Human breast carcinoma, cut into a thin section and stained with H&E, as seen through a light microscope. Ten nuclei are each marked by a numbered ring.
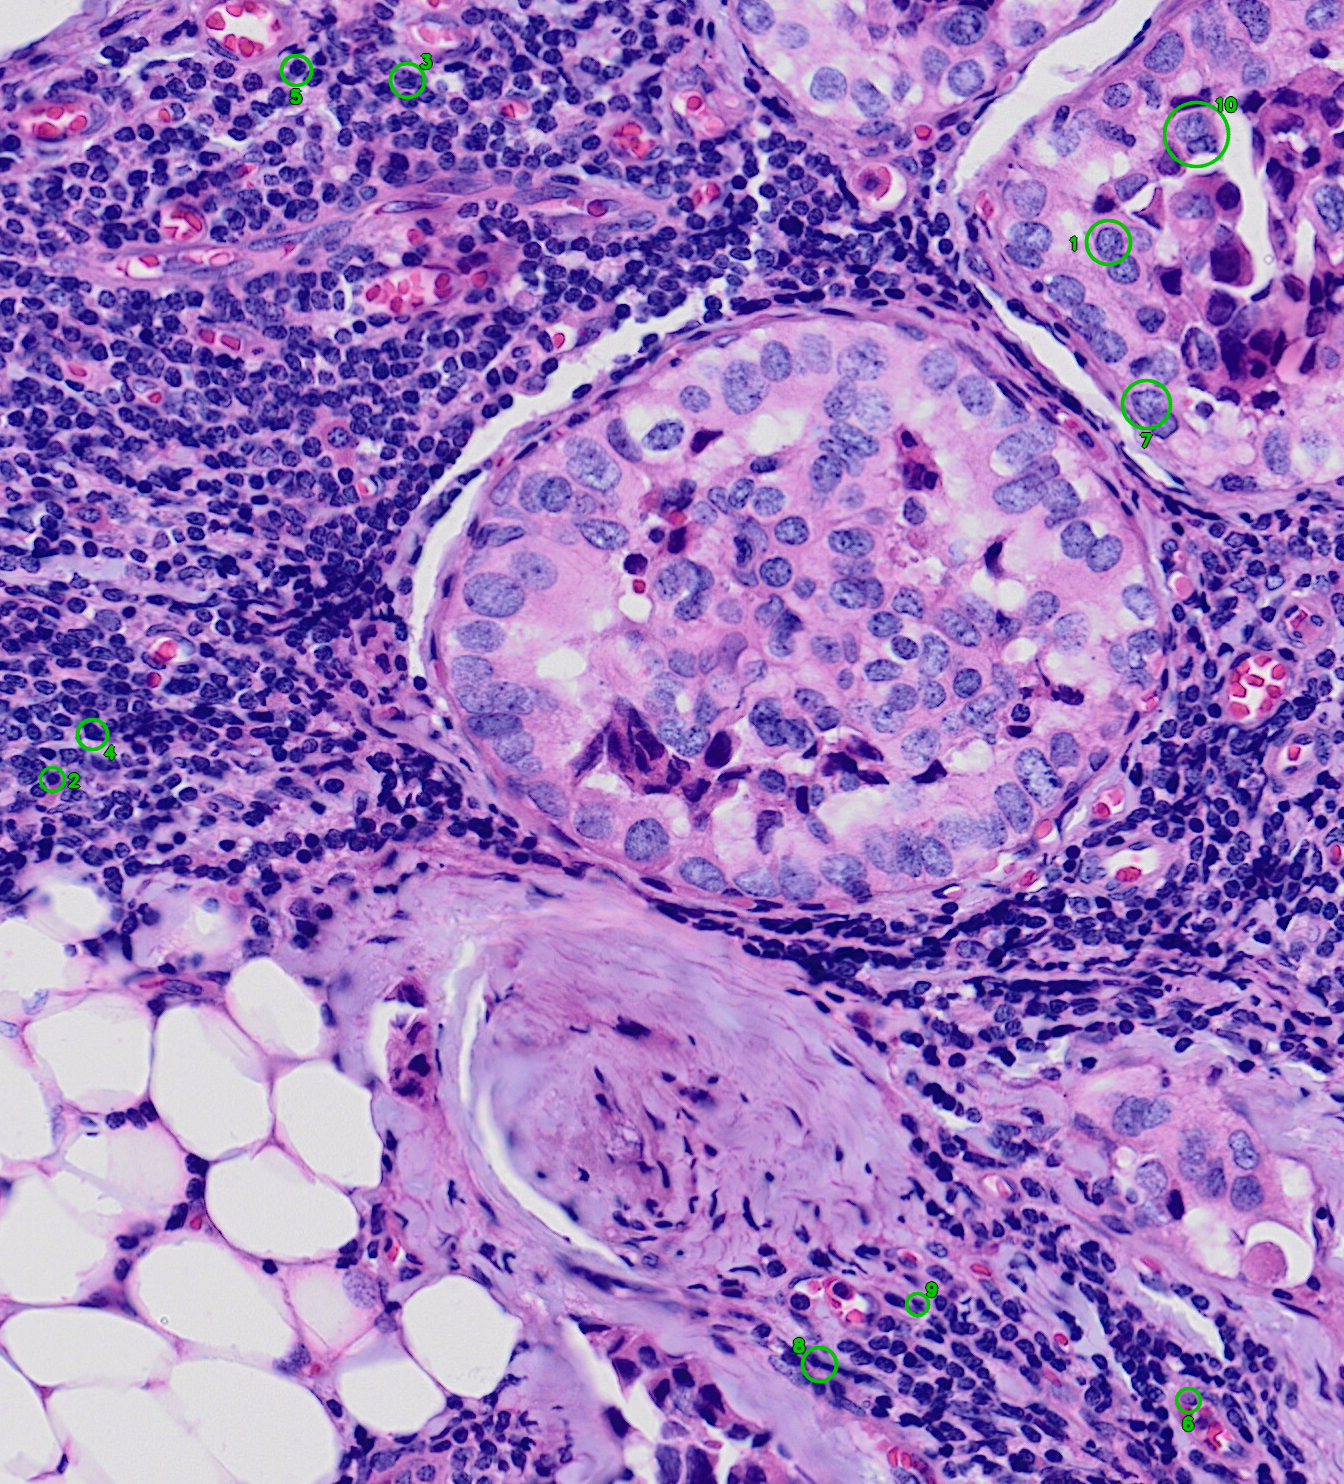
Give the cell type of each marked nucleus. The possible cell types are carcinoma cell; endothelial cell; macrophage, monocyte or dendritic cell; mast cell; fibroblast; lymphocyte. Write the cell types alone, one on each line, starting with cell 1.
carcinoma cell
lymphocyte
lymphocyte
lymphocyte
lymphocyte
endothelial cell
carcinoma cell
lymphocyte
lymphocyte
carcinoma cell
